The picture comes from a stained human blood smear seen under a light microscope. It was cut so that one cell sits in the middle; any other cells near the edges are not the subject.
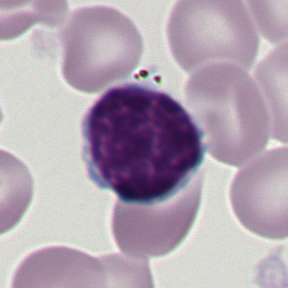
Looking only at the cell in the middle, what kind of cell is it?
typical lymphocyte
